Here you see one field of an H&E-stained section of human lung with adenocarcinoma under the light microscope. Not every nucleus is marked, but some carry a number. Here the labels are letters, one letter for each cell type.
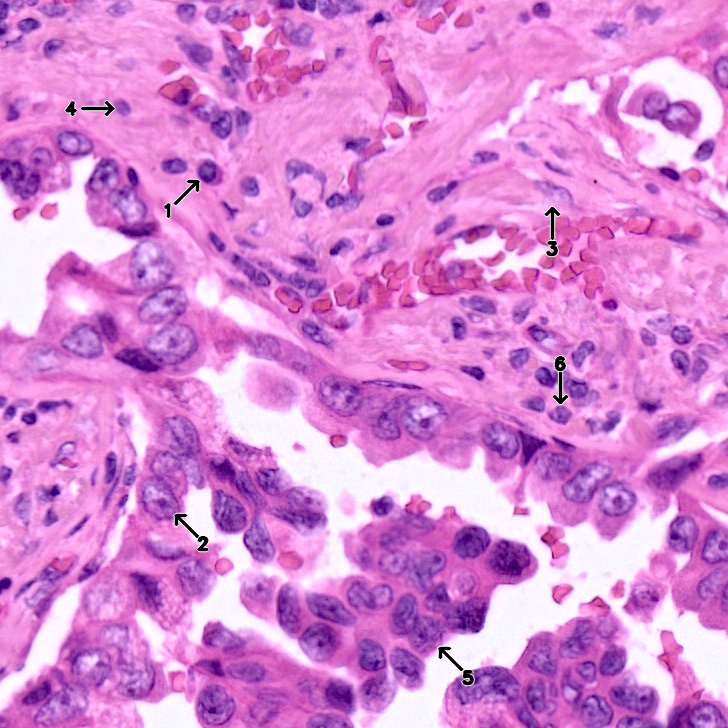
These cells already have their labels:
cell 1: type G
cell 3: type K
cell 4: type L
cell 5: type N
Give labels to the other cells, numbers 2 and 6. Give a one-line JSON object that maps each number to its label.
{"2": "type N", "6": "type L"}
